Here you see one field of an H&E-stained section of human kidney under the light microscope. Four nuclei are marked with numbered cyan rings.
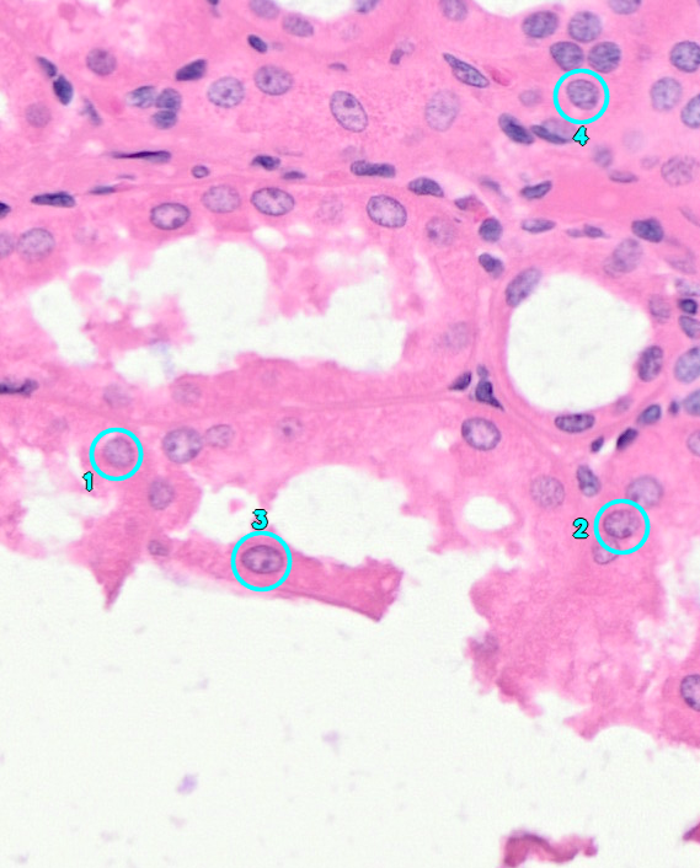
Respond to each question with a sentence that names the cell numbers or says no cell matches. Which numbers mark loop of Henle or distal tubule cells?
Being a loop of Henle or distal tubule cell is true of cell 4 and of no other numbered cell.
